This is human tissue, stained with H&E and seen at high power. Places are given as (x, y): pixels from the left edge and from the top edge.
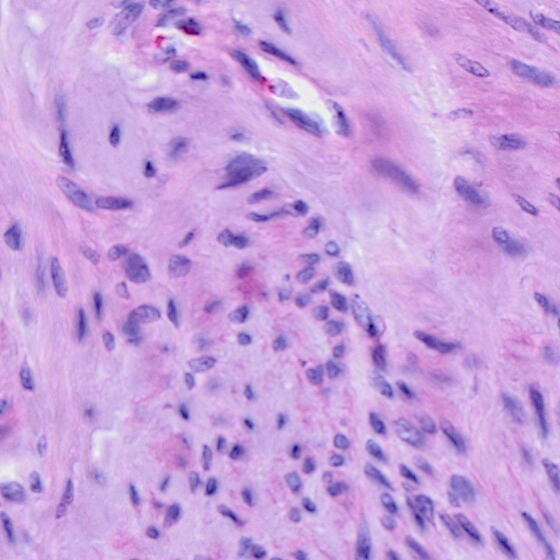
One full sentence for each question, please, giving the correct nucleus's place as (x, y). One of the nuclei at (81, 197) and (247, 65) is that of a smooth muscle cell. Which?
Between the pair, the nucleus at (81, 197) belongs to a smooth muscle cell.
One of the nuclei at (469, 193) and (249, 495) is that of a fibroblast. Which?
The one belonging to a fibroblast is the nucleus at (469, 193), not the other.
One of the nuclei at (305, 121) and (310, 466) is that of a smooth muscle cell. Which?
The nucleus at (310, 466) is assigned to a smooth muscle cell.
